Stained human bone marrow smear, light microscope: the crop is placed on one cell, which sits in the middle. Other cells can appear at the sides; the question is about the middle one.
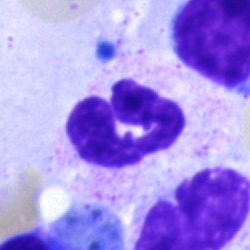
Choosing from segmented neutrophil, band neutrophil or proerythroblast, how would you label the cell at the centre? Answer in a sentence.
Regarding the central cell, it is a segmented neutrophil.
